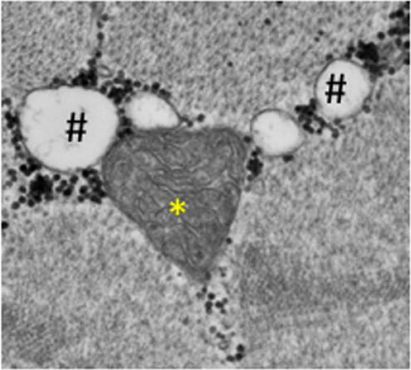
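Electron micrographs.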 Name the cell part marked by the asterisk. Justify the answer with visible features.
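Mitochondria. The marked organelle is bounded by a membrane and filled with folded inner membranes. It lies between bundles of myofilaments.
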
